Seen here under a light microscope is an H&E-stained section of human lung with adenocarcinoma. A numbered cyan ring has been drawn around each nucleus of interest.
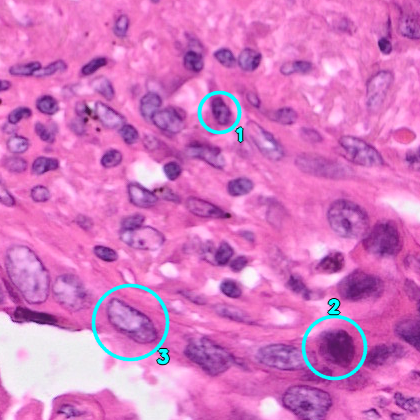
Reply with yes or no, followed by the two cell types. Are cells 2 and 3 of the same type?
Yes, going by number, cells 2 and 3 are both carcinoma cells.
